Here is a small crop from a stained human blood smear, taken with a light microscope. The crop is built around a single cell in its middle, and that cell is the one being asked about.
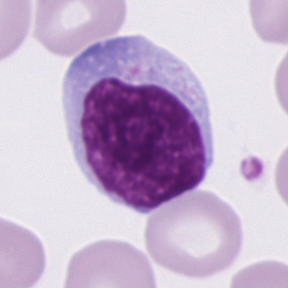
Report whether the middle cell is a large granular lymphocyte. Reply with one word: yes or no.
yes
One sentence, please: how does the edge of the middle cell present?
In short, the margin is smooth with no projections at all.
